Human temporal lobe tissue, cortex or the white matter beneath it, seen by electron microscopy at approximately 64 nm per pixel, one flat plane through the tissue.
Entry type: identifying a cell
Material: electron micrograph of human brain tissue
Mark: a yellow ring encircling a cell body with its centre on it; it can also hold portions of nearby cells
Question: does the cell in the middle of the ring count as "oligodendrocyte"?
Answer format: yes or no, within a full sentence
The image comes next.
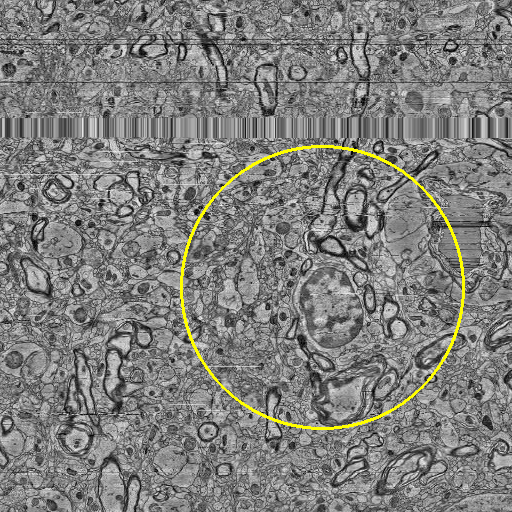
No, in the image, the cell in the middle of the yellow ring counts as a different kind.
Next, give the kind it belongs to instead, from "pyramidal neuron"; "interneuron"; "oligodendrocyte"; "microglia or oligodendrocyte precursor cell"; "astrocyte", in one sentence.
As it turns out, the cell at the ring centre is a microglial cell or oligodendrocyte precursor cell.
